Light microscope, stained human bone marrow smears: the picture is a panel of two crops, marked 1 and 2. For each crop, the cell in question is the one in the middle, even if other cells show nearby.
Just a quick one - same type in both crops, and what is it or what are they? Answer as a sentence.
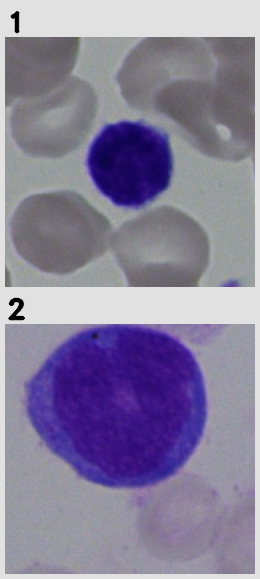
No, for crop 1 the cell is a lymphocyte, and for crop 2 it is a blast.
